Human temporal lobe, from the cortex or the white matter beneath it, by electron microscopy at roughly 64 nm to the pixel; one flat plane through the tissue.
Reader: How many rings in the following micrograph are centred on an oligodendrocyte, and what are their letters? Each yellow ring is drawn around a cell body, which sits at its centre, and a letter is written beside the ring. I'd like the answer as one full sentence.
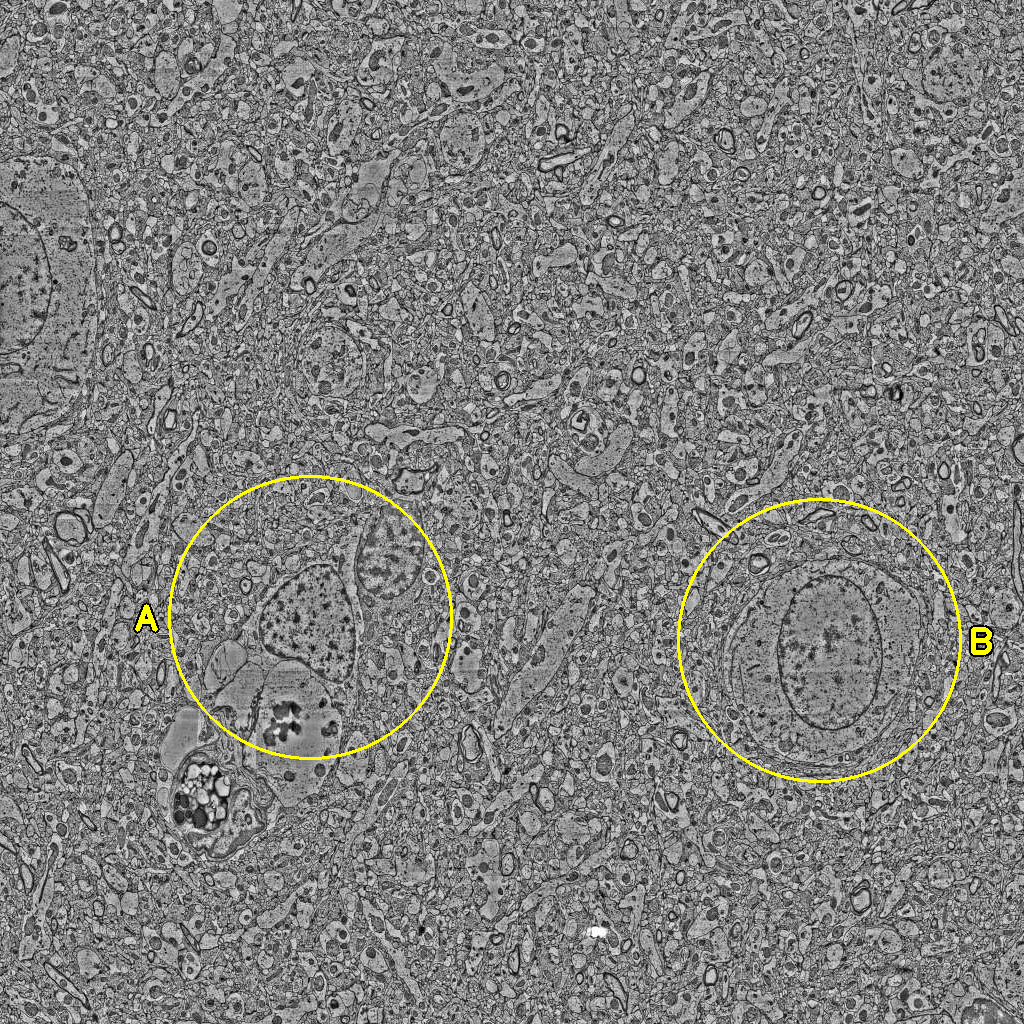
It turns out that no ring is centred on an oligodendrocyte, so the count is zero.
